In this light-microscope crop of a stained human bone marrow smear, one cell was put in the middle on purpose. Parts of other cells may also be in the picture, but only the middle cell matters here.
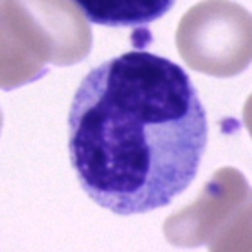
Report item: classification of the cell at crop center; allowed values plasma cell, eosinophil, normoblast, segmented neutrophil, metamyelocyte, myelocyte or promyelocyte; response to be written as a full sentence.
Seen at the centre of the crop is a metamyelocyte.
